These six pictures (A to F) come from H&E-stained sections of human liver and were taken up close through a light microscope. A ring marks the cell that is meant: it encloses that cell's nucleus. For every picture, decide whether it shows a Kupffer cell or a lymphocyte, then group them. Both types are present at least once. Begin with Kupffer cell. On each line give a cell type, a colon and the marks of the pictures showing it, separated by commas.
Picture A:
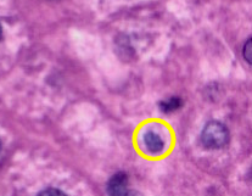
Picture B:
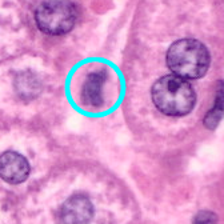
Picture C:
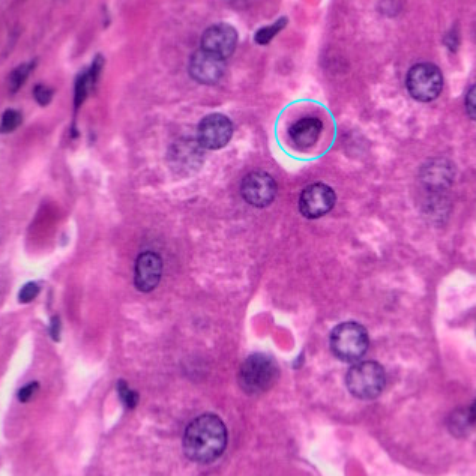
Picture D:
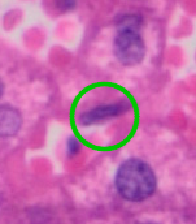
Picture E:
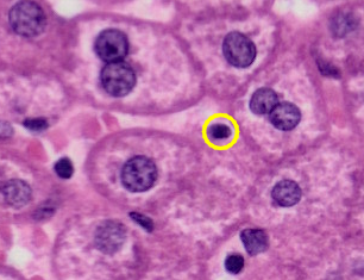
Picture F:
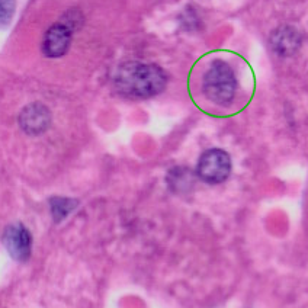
Kupffer cell: B, C, D, F
lymphocyte: A, E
